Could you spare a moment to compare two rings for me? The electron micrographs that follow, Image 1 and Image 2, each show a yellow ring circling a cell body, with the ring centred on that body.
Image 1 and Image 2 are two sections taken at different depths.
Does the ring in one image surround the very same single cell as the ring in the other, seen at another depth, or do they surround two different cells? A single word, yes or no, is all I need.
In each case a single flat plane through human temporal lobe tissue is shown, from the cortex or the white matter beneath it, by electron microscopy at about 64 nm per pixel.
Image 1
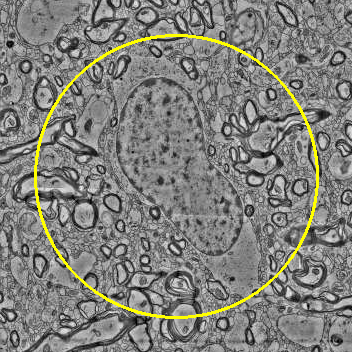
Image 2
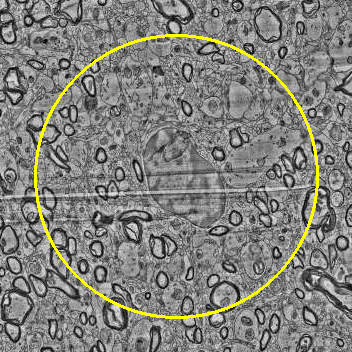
no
